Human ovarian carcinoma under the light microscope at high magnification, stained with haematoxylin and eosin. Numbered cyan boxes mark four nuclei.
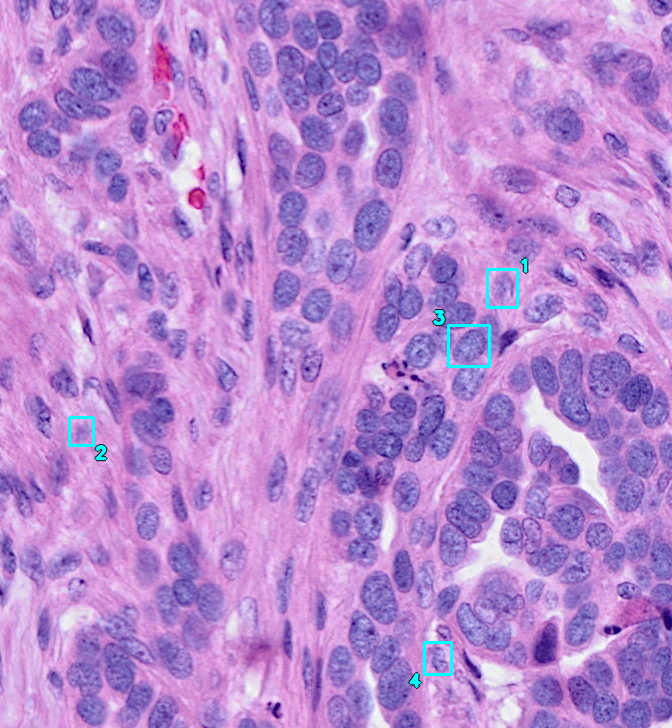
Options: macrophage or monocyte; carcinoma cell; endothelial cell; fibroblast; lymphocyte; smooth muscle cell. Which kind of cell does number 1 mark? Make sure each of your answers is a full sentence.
The cell indicated with the number 1 is classed as a fibroblast.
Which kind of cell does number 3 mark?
The cell carrying label 3 is identified as a carcinoma cell.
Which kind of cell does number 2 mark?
The correct label for cell 2 is a fibroblast.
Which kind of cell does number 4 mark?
Of the numbered cells, the one labelled 4 is a fibroblast.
